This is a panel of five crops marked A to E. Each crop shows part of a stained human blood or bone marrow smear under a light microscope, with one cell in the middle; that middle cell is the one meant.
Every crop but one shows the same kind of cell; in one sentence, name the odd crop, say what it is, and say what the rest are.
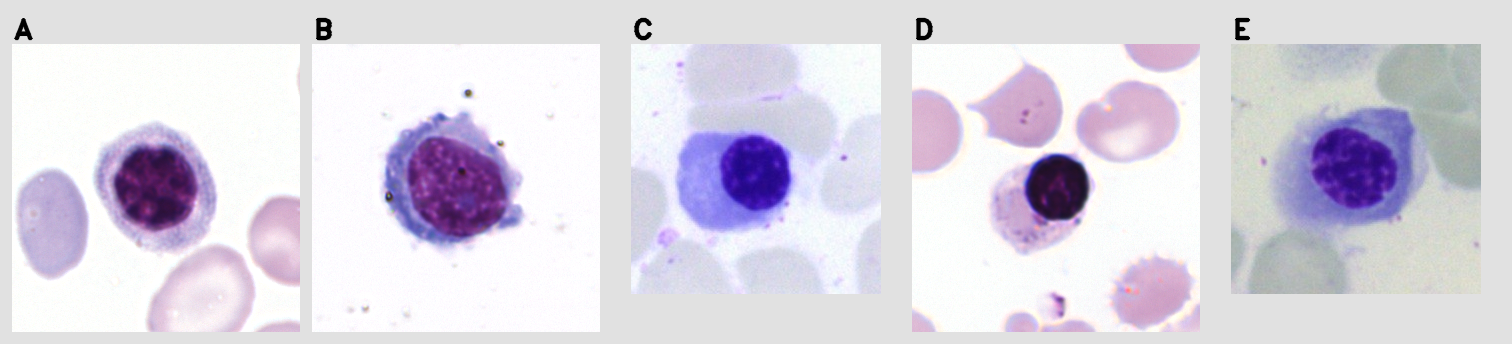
Crop B is the only crop with a plasma cell, the others all showing erythroblasts.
